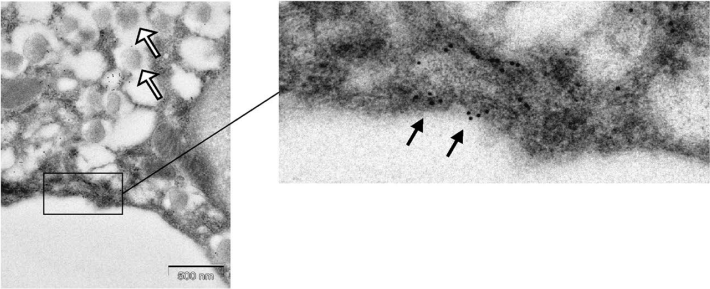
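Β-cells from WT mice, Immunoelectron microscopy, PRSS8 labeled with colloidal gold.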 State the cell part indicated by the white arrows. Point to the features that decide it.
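The white arrows point to round membrane-bound vesicles in the cytoplasm. The vesicles have a grey dense core inside a paler halo. Many similar vesicles crowd the cytoplasm. On this evidence: insulin granules.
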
